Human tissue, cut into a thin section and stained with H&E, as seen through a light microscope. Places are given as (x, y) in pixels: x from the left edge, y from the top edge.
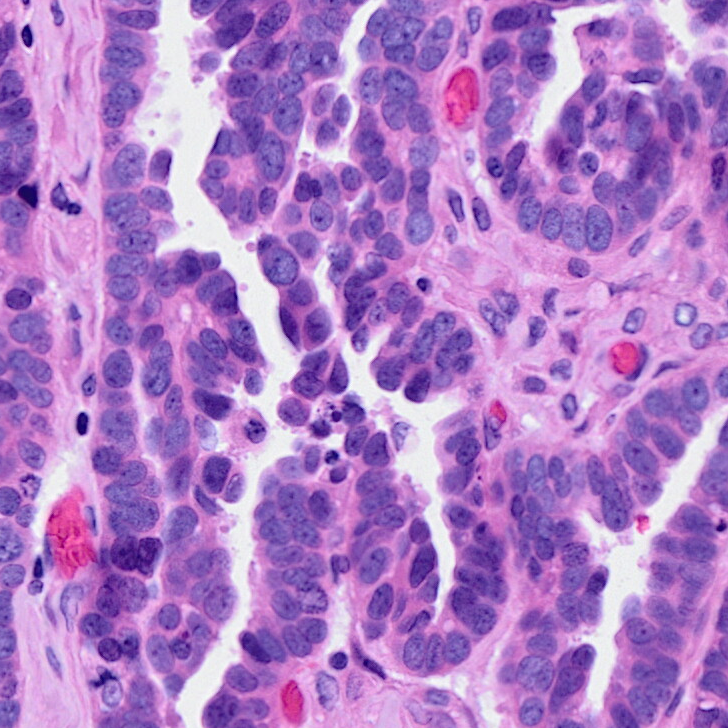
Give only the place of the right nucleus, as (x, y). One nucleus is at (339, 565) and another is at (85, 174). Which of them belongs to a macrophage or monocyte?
(339, 565)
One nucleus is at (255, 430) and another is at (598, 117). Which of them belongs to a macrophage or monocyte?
(255, 430)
